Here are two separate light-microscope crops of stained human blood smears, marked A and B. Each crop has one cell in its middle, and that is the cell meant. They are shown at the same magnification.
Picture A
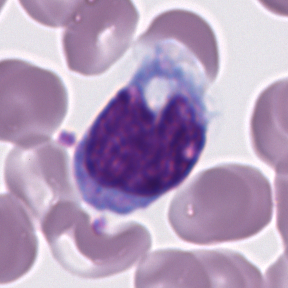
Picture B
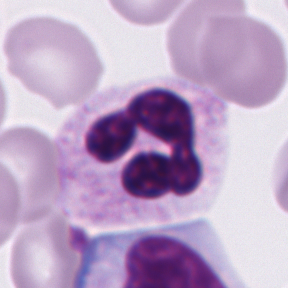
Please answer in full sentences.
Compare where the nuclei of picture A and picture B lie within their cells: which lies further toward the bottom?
Seen within its cell, the nucleus in picture A lies further toward the bottom.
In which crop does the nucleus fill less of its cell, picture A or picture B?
In picture B the nucleus takes up the smaller part of its cell.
